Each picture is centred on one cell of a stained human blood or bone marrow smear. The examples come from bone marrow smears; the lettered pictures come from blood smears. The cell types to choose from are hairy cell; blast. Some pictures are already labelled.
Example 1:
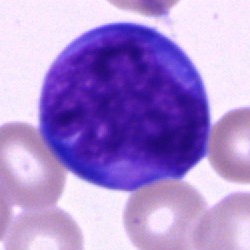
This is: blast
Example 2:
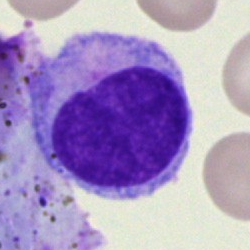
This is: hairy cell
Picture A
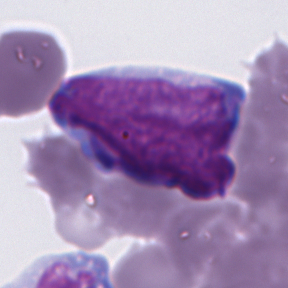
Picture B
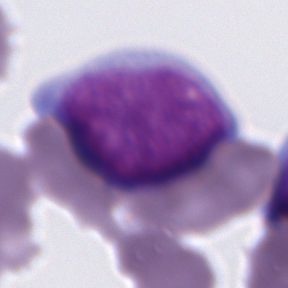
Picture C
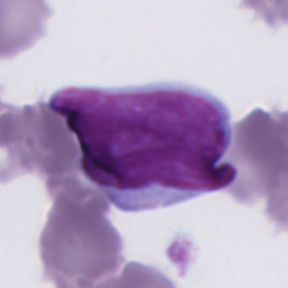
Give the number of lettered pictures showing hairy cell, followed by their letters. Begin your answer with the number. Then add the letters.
0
